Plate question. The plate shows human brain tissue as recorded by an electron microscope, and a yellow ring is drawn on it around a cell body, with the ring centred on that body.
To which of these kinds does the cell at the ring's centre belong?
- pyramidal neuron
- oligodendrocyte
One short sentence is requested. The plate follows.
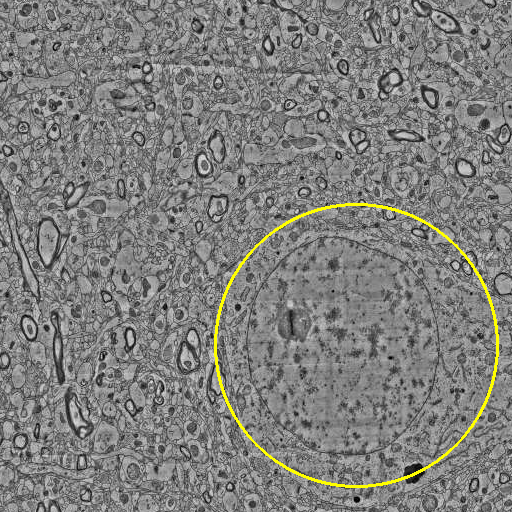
The cell at the ring's centre is a pyramidal neuron.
